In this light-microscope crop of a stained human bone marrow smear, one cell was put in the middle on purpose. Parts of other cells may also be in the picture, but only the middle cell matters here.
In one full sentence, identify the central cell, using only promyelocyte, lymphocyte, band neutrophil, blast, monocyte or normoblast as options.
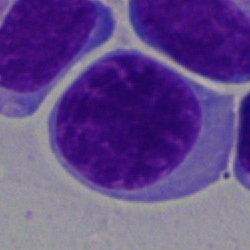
The cell found in the middle of this crop is a blast.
